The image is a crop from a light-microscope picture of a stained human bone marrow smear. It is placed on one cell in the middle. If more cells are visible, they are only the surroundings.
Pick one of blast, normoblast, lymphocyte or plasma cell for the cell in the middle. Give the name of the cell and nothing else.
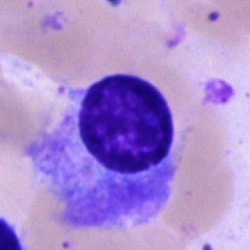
plasma cell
